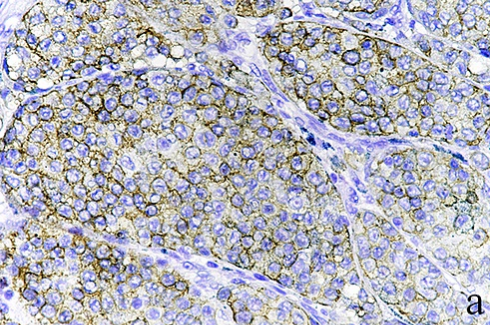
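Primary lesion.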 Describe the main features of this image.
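Tumor cells arranged in nests separated by thin fibrous septa. The cells are round to polygonal with central round blue nuclei and a rim of fine granular brown staining in the cytoplasm, most intense at the cell borders. The septa between nests contain flattened cells without brown staining.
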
